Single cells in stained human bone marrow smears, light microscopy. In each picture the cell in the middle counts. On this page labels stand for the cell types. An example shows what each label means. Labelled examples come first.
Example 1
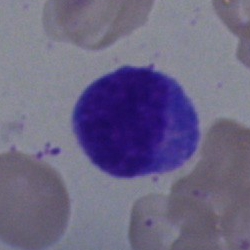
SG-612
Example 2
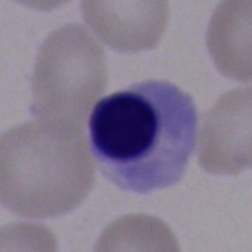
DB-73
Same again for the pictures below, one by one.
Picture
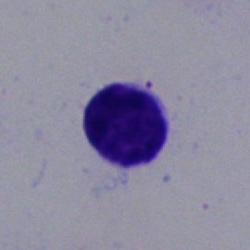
SG-612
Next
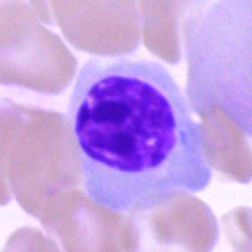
DB-73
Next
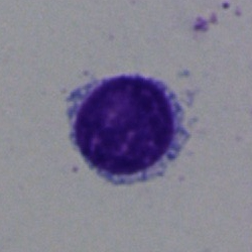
SG-612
